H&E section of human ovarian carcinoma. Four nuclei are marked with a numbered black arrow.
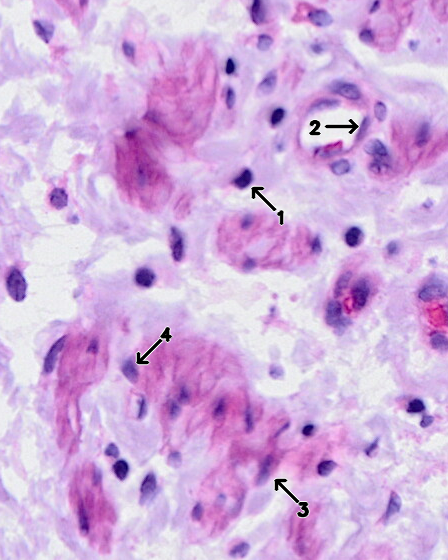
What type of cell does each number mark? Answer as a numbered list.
1. lymphocyte
2. endothelial cell
3. smooth muscle cell
4. smooth muscle cell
